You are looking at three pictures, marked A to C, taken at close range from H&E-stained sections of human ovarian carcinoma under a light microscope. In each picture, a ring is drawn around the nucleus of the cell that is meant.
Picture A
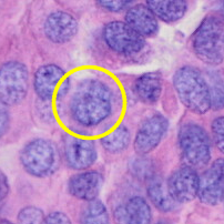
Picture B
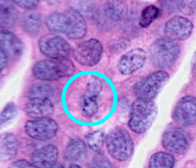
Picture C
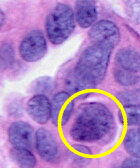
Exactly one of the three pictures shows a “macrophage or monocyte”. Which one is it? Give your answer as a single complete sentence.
Picture B is the one that shows the “macrophage or monocyte”.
